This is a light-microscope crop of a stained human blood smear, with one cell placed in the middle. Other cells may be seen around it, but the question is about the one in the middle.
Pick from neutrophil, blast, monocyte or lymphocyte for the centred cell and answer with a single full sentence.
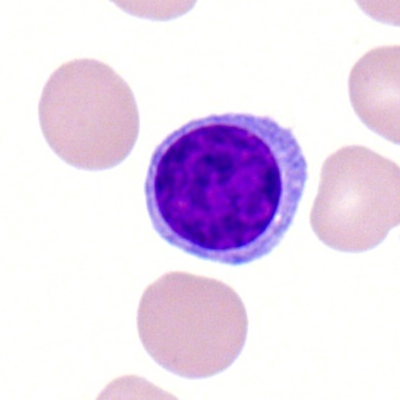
At the middle of the frame sits a lymphocyte.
